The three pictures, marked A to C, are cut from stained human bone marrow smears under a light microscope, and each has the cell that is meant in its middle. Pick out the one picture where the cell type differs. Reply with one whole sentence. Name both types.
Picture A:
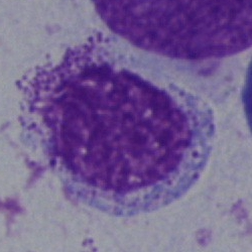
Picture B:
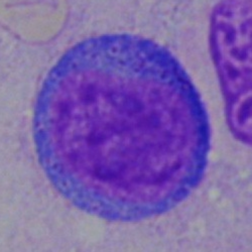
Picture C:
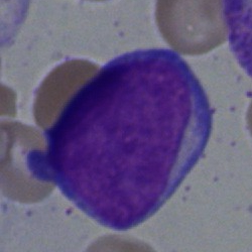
Picture A is the odd one out: it shows a myelocyte, while the others show blasts.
